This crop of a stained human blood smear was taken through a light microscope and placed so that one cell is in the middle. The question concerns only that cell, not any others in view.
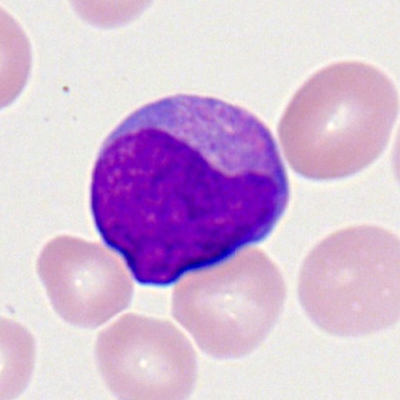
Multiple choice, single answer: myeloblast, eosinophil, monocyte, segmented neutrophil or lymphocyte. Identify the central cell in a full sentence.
The central cell shown in this smear crop is a myeloblast.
